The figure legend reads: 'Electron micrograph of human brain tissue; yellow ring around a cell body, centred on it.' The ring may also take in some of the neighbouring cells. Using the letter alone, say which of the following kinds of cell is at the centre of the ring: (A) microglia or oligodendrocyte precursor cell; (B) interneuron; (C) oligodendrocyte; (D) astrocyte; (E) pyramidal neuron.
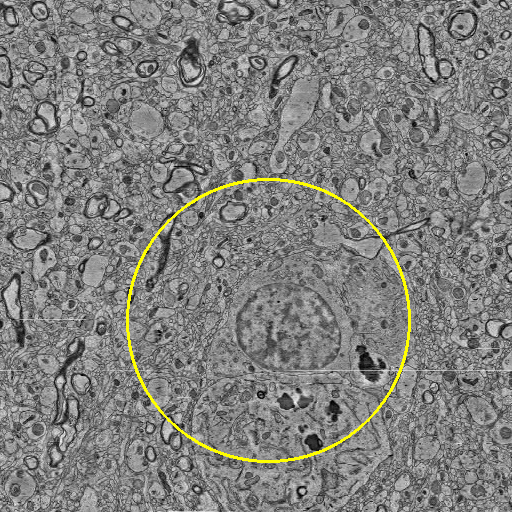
C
